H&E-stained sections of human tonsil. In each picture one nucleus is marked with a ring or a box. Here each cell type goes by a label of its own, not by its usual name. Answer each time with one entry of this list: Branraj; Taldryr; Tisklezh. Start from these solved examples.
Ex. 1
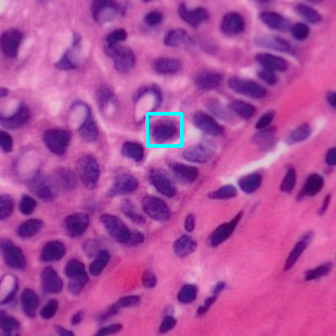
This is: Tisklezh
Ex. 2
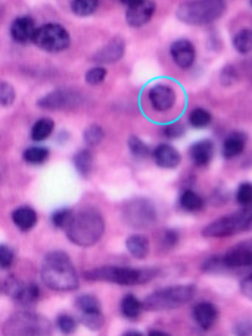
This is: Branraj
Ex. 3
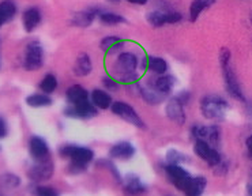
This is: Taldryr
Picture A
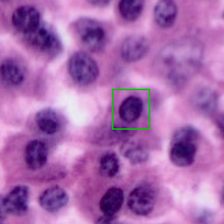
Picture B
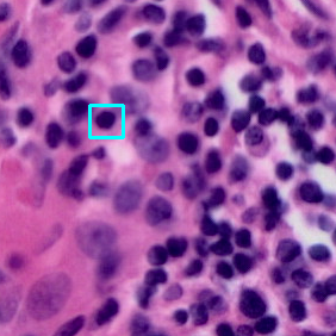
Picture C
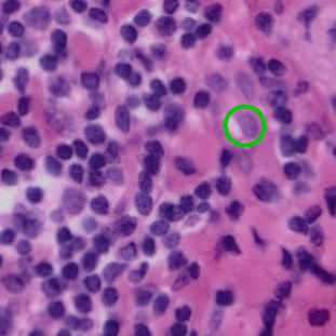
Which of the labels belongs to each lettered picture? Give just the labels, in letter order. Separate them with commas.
Branraj, Taldryr, Taldryr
